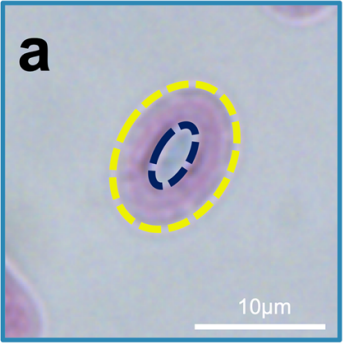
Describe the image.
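This is a single nucleated erythrocyte on a pale background. The cell is oval with smooth edges and evenly pink-red cytoplasm. A small elongated oval nucleus sits in the middle of the cell, with its long axis along that of the cell. Edges of neighbouring pink oval red cells show at the corners.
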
